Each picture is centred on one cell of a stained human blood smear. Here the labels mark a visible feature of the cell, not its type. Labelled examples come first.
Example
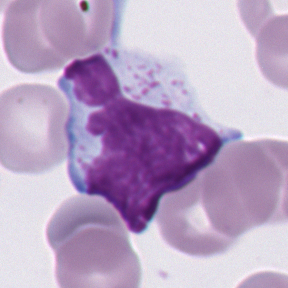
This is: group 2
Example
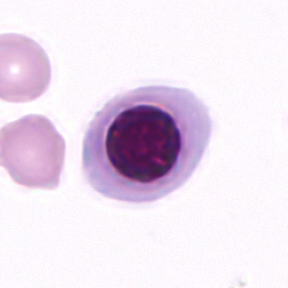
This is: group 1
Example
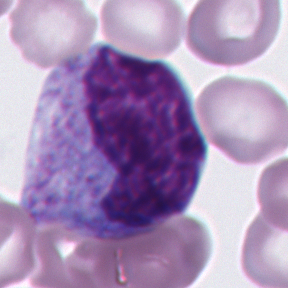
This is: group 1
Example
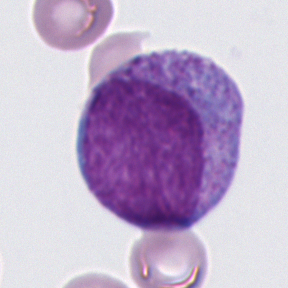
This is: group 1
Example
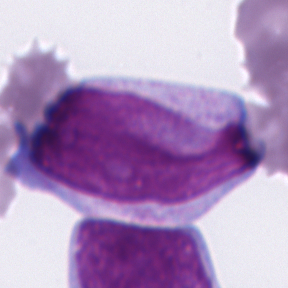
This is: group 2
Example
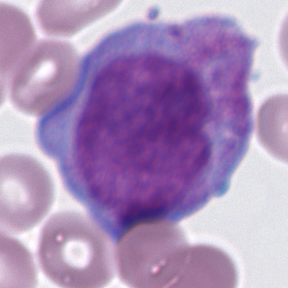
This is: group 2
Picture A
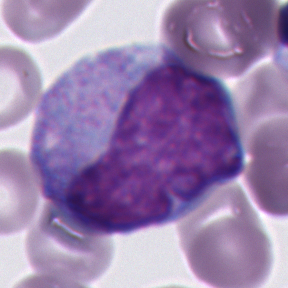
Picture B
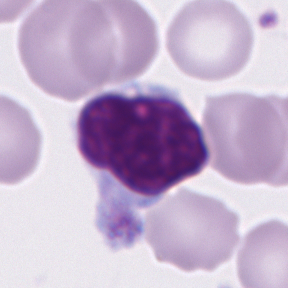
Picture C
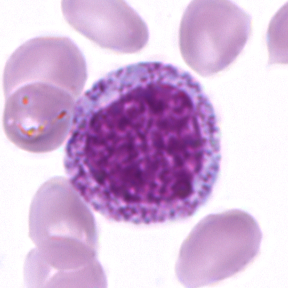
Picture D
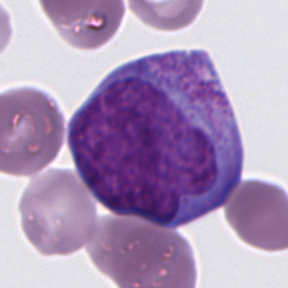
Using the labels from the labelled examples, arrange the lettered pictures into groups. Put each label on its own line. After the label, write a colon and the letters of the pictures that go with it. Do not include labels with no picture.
group 2: B, C
group 1: A, D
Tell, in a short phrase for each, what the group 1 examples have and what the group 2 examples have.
In group 1: abundant cytoplasm. In group 2: scant cytoplasm.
